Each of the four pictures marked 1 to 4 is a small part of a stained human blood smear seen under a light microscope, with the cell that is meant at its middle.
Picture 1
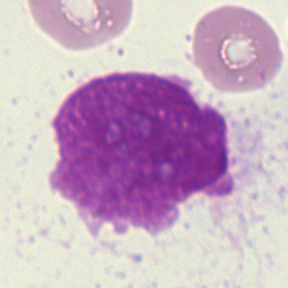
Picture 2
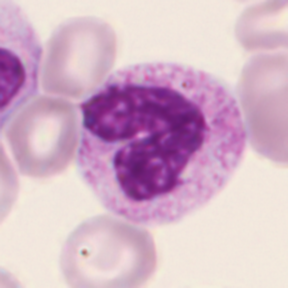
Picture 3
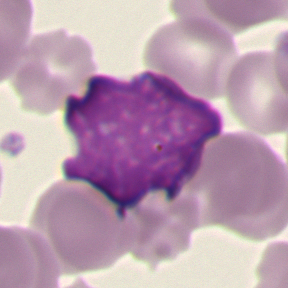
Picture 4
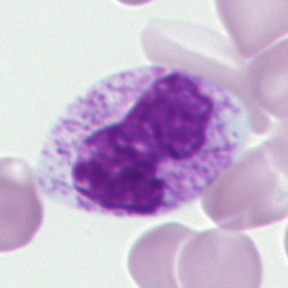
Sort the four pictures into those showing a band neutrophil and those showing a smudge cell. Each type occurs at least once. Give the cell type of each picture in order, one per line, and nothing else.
smudge cell
band neutrophil
smudge cell
band neutrophil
